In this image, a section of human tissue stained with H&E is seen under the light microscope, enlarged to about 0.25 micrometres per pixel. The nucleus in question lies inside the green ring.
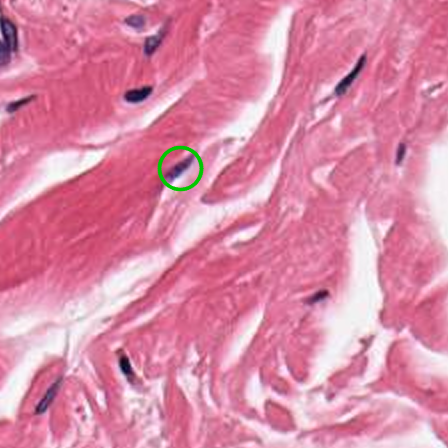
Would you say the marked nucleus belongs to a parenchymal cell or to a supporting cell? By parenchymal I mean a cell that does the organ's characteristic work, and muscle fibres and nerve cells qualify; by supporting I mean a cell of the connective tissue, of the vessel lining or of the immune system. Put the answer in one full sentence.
A supporting cell is what the marked nucleus belongs to.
